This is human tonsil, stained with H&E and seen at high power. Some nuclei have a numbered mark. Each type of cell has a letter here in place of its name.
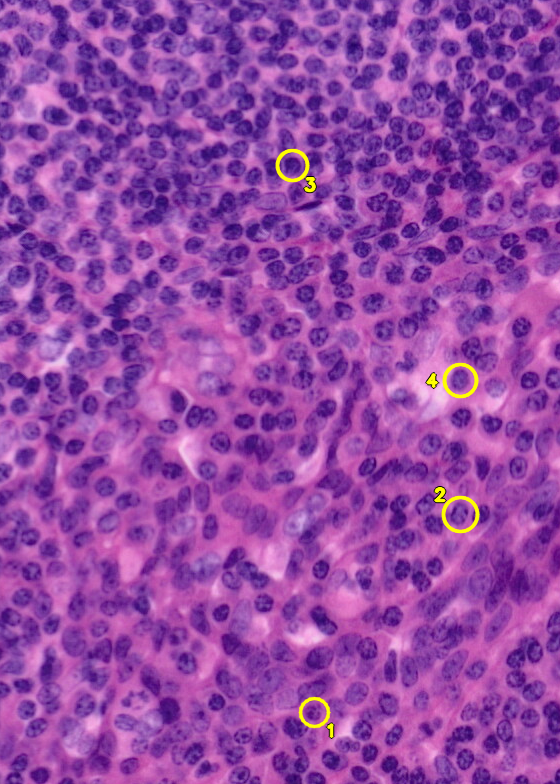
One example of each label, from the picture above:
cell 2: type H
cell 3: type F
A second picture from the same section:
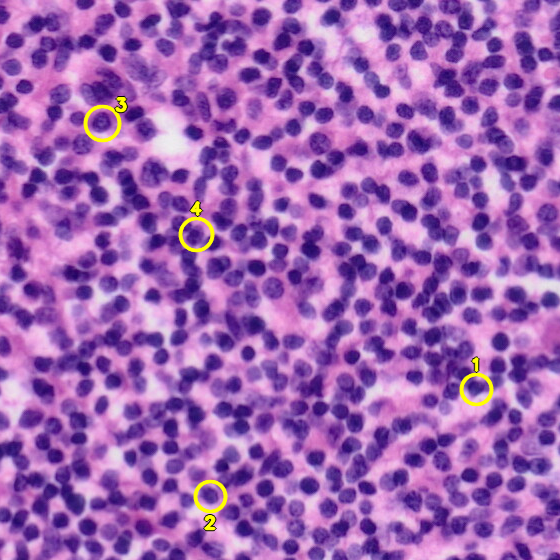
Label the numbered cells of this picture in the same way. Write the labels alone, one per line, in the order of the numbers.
type F
type F
type H
type F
